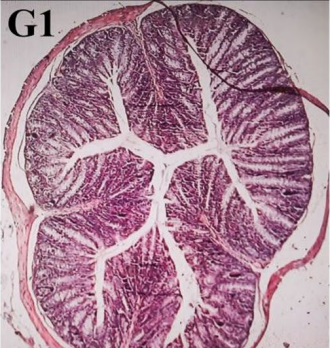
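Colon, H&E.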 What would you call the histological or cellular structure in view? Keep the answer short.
Well-defined mucosal folds.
